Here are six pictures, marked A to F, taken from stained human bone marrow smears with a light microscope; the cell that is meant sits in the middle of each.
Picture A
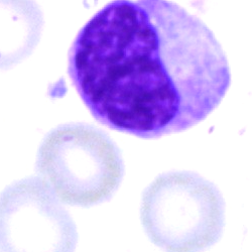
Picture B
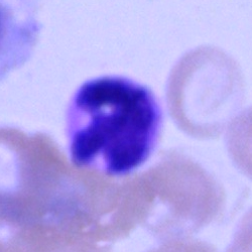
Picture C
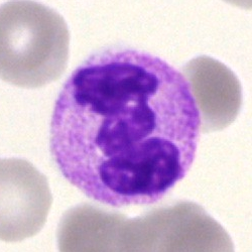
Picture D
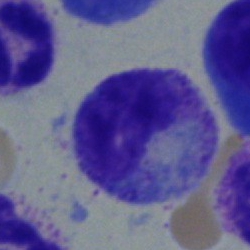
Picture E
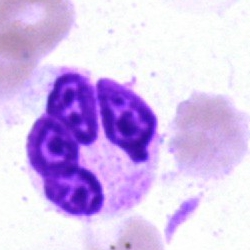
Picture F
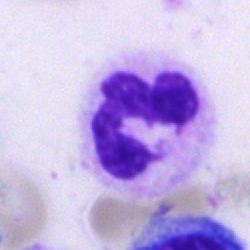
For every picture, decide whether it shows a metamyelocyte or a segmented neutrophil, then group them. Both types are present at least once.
A: metamyelocyte
B: segmented neutrophil
C: segmented neutrophil
D: metamyelocyte
E: segmented neutrophil
F: segmented neutrophil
